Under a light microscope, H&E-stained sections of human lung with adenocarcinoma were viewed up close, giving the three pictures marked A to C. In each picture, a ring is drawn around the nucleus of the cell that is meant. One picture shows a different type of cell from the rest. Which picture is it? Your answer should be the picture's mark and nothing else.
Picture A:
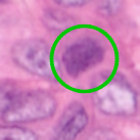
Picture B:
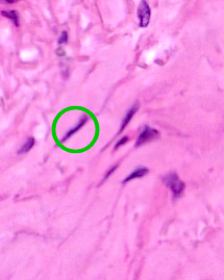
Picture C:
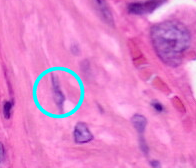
A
